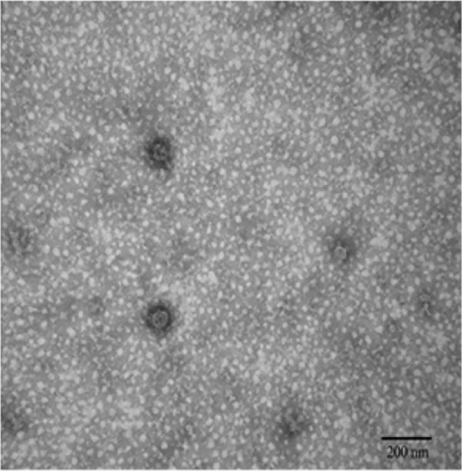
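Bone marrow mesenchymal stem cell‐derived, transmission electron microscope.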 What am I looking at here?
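Against a grey, finely speckled background, a handful of small, separate, rounded bodies stand out. Each has a dark, dense rim around a paler centre, giving a ring-like or slightly cup-shaped look. Judged against the scale bar, most are on the order of one hundred nanometres across. They lie apart from one another, with no cell bodies, nuclei or tissue anywhere in the field. Some are crisper than others, and a few toward the edges are fainter and less sharply outlined.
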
